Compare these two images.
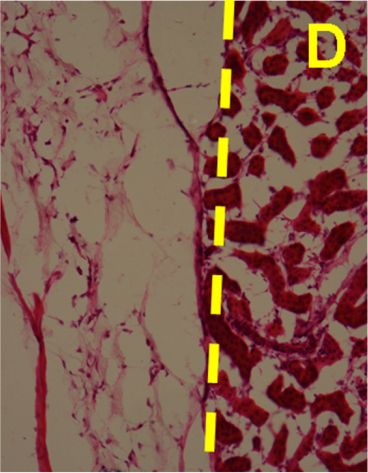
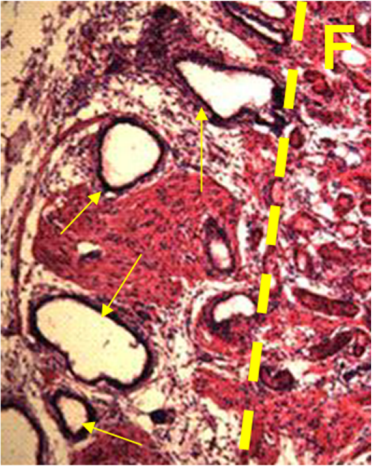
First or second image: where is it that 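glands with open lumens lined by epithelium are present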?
The second image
